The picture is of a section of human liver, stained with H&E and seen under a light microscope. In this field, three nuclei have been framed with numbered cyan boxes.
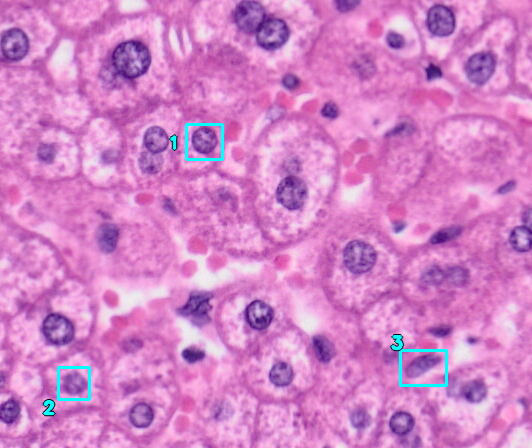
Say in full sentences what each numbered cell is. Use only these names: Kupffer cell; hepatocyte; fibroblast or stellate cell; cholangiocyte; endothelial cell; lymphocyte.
Cell 1 is a hepatocyte, cell 2 is a hepatocyte and cell 3 is a Kupffer cell.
